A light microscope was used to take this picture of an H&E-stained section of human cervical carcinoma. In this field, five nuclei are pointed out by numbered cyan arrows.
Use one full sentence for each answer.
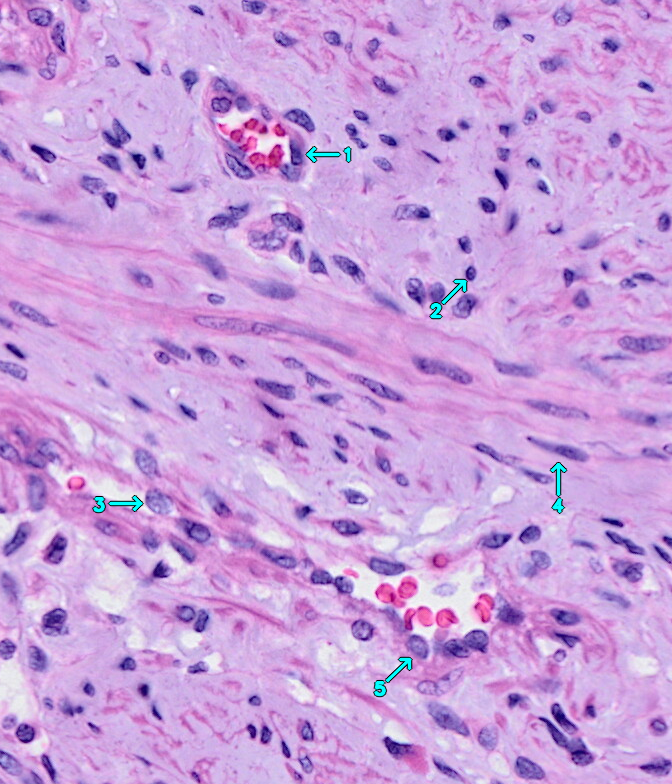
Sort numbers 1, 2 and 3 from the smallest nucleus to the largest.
From smallest to largest, the order is 2, 1, 3.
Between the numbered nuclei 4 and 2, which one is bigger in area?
It is nucleus 4, which covers about 4 times the area of nucleus 2.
